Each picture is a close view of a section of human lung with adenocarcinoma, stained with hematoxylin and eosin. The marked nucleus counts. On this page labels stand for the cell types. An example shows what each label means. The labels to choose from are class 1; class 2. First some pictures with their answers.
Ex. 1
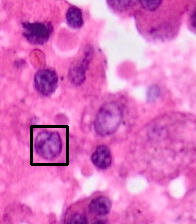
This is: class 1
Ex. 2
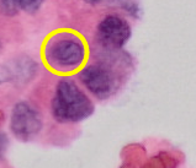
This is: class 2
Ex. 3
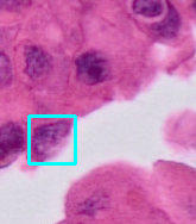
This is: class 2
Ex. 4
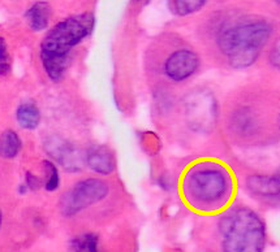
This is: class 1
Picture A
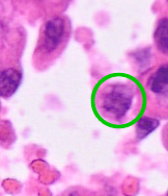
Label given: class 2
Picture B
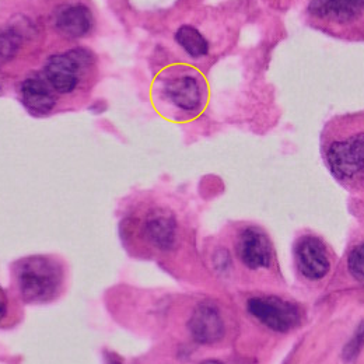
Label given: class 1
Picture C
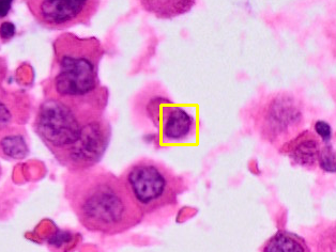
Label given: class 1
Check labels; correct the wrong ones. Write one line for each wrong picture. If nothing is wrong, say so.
Nothing to fix; every label fits.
